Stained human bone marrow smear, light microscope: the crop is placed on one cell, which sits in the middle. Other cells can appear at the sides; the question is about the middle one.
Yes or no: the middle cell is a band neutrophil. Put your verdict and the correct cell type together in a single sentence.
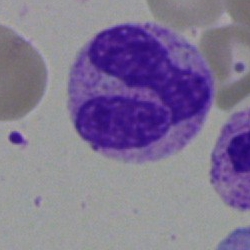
No, the middle one is a segmented neutrophil rather than a band neutrophil.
